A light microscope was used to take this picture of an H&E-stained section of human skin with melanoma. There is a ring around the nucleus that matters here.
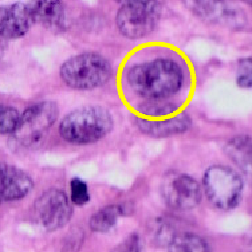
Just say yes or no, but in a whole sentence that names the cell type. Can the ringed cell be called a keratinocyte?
No, the ringed cell is regarded as a melanoma cell rather than a keratinocyte.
